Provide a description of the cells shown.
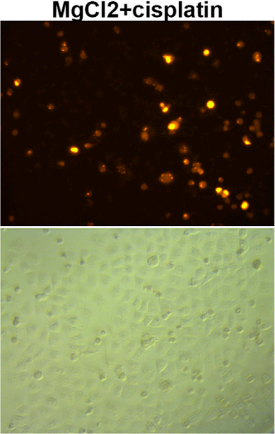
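In the brightfield image the cells are polygonal to spindle-shaped with pale cytoplasm, and some are rounded and more refractile. In the fluorescence image many small round bodies glow bright orange against a dark background, and they are scattered across the field.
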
